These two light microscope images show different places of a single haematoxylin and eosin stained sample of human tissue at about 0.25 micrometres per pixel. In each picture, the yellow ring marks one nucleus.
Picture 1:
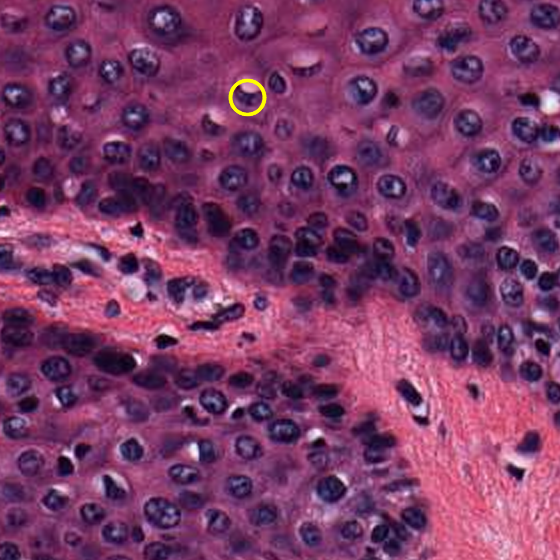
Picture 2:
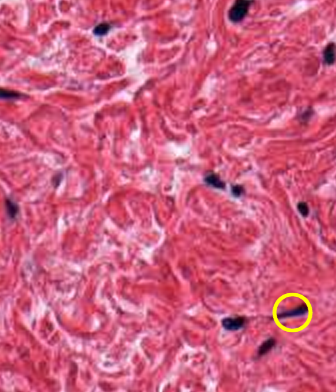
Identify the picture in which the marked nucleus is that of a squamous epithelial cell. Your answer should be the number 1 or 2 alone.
1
